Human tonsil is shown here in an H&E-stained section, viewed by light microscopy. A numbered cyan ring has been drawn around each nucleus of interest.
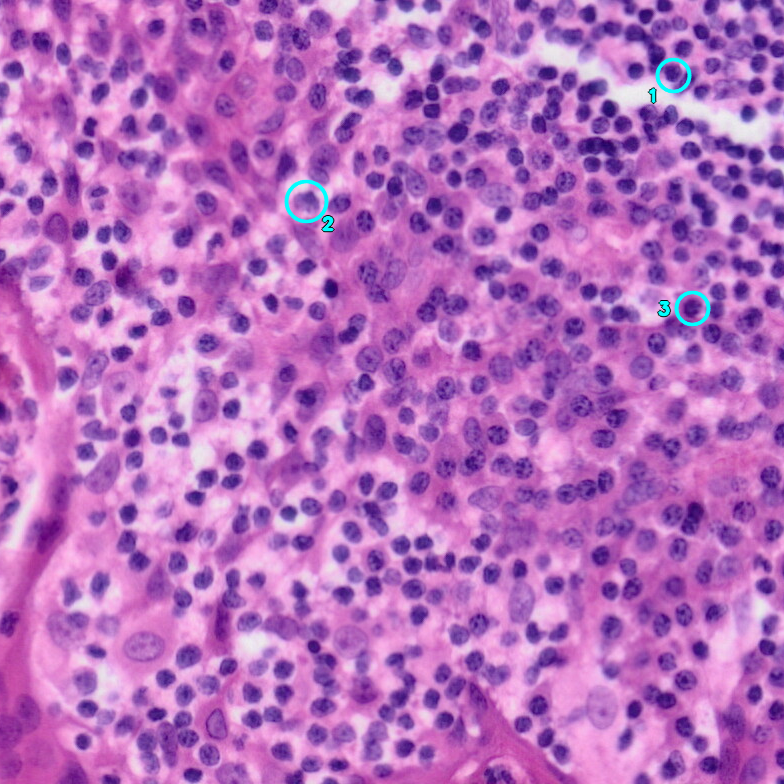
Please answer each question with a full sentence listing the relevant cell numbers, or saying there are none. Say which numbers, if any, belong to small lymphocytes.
Cell 1 is a small lymphocyte and is the only numbered cell of that kind.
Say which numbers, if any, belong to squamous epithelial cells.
Among the marked cells, a squamous epithelial cell is found only at number 2.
